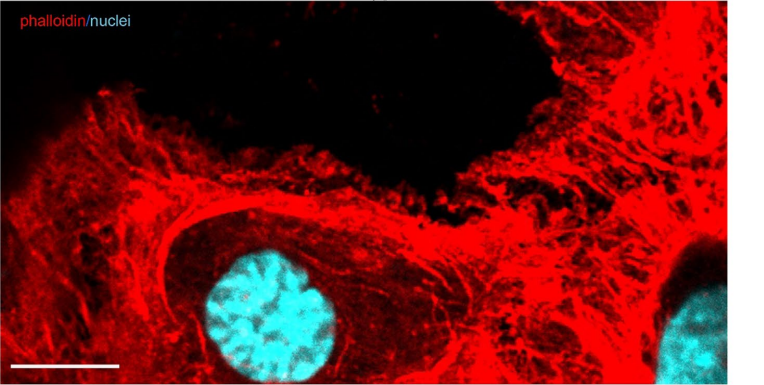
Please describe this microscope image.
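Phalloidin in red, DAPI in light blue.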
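At high magnification, flattened cultured cells are shown with their filament network stained red. Dense bundles of fine red fibres run across the cytoplasm, many of them parallel and gathered into thicker cables near the cell edges. One large round nucleus sits near the bottom left, its chromatin light blue and mottled with darker clumps, and part of a second nucleus shows at the lower right edge. A dark cell-free gap lies in the upper part of the field, bordered by the dense red fibres.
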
